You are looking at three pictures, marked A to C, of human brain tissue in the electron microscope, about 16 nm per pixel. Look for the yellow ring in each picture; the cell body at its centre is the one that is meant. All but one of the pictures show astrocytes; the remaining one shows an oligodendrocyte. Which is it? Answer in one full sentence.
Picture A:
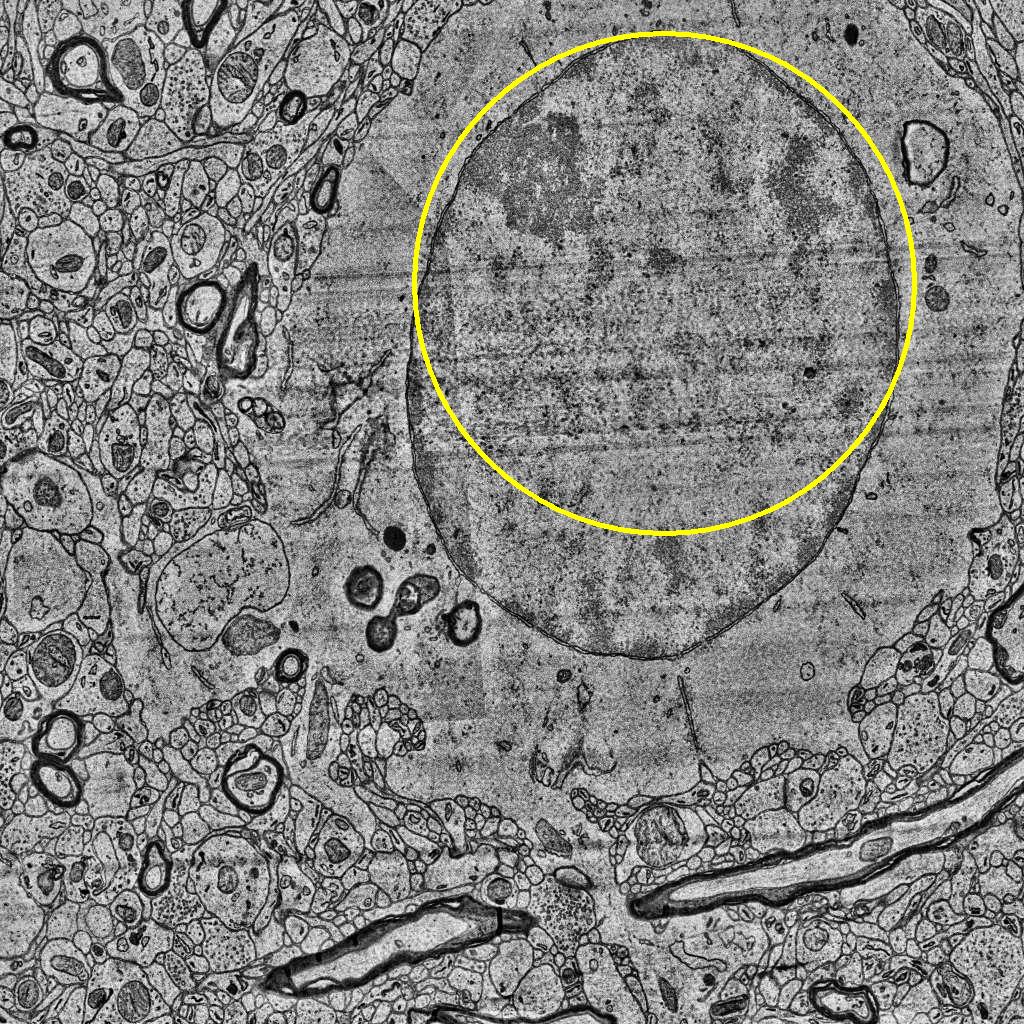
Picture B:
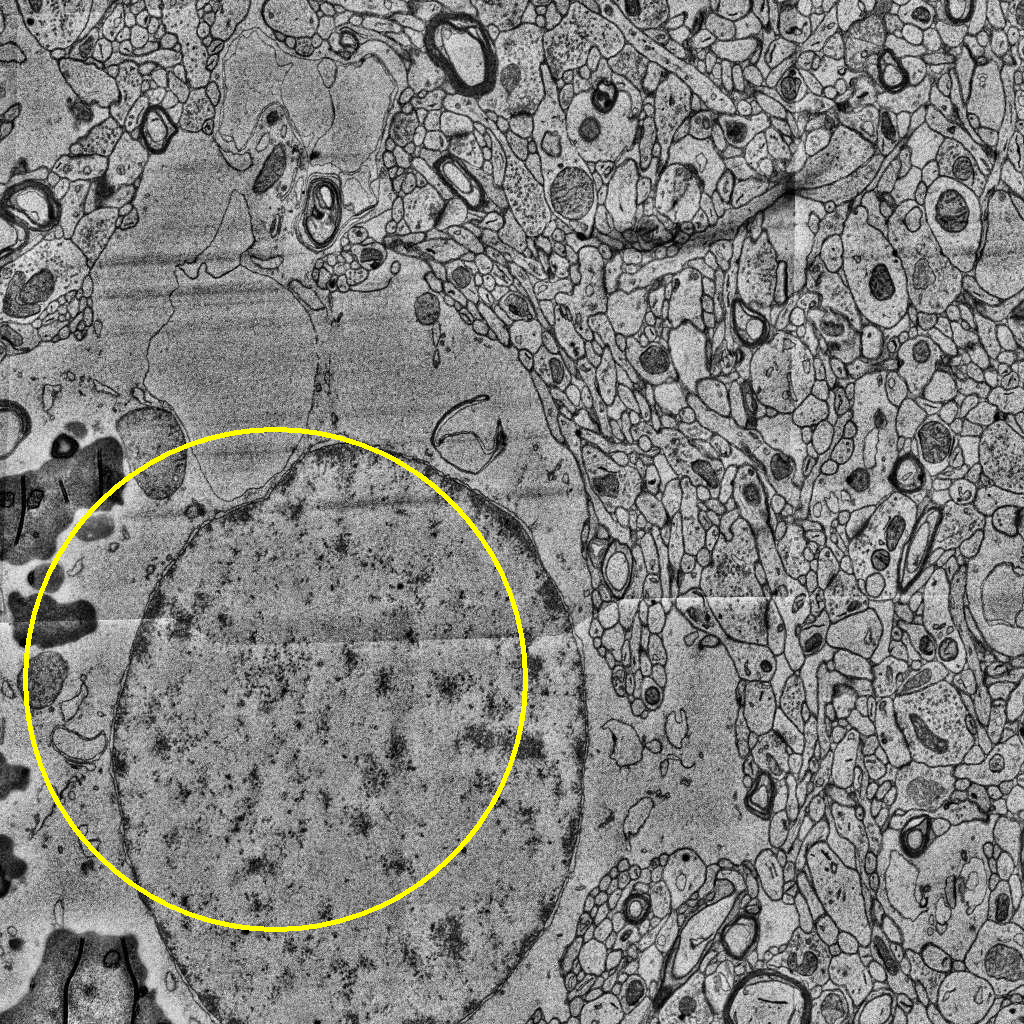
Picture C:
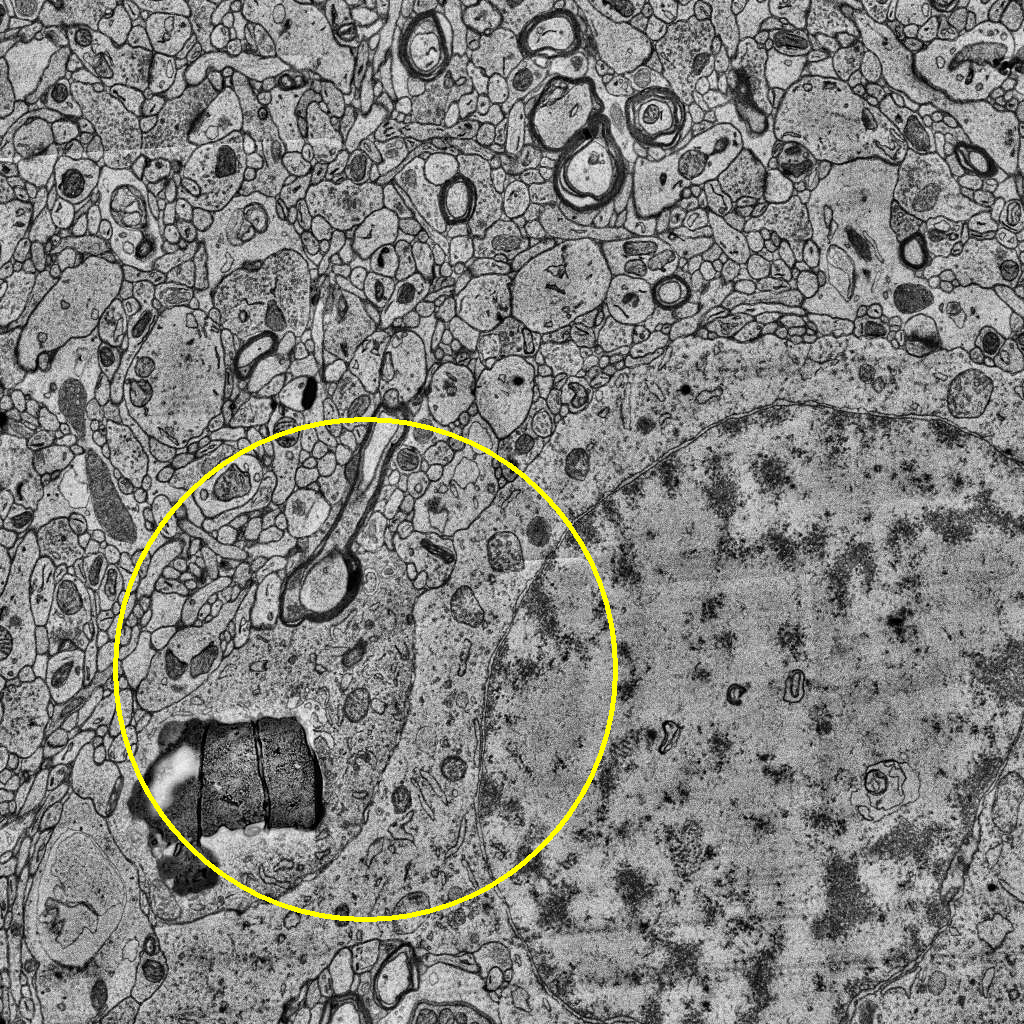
It is picture C that shows the oligodendrocyte.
